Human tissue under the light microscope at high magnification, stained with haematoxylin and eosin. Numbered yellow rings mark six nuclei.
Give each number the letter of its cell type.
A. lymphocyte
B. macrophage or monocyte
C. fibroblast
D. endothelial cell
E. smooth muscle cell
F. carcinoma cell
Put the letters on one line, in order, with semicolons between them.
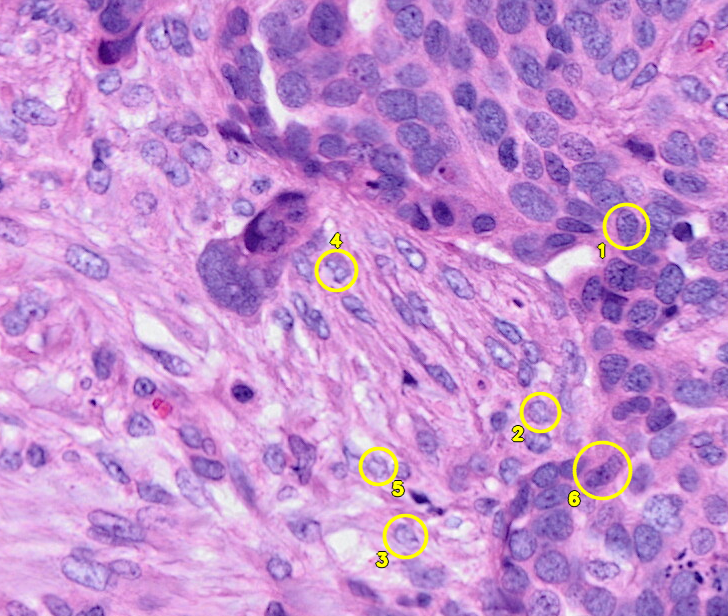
F; C; C; C; C; F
